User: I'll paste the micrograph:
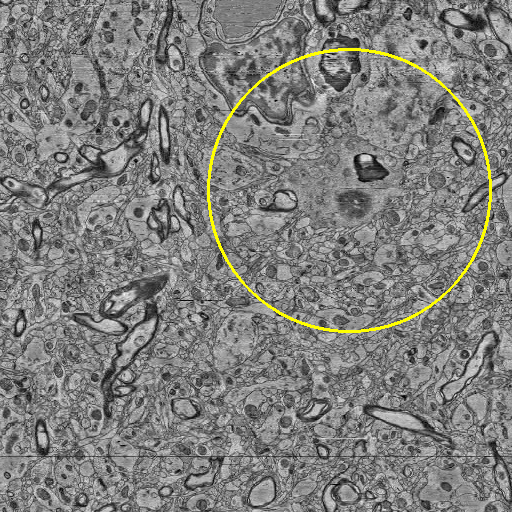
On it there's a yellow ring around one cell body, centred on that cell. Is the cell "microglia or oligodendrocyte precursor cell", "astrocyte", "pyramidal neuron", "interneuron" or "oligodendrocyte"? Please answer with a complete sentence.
The cell ringed in yellow is an oligodendrocyte.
